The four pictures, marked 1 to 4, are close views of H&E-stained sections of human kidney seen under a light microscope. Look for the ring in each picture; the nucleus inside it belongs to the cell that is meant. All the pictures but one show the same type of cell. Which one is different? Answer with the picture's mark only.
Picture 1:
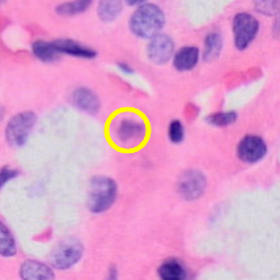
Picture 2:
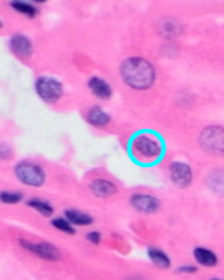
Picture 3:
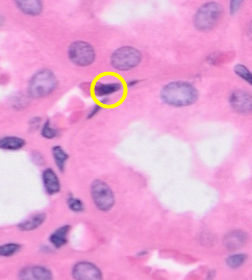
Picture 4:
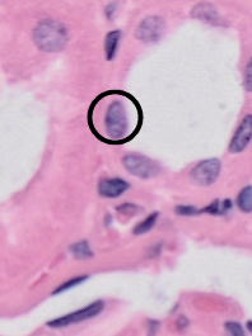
3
